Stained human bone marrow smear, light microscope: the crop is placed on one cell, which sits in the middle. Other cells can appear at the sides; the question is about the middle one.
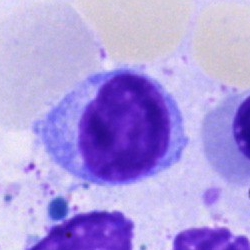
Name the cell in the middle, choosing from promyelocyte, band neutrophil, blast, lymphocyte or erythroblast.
lymphocyte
